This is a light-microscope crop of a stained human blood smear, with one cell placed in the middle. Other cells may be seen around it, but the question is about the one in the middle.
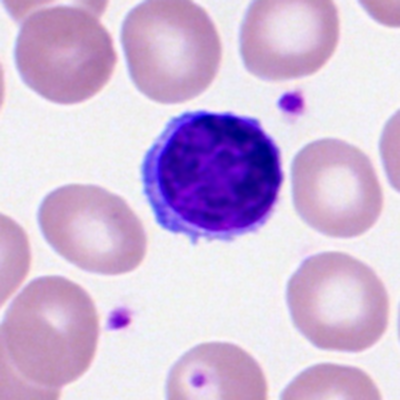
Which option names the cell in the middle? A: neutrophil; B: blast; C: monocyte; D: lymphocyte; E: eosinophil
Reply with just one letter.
D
